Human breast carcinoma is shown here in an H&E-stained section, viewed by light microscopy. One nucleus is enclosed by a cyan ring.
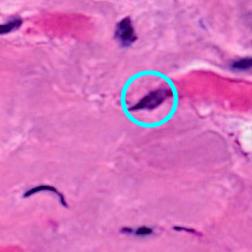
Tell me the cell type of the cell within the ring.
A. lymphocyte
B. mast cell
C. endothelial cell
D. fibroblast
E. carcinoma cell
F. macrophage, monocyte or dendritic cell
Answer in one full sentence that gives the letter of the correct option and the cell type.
The correct response is option D: the cell within the ring is a fibroblast.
